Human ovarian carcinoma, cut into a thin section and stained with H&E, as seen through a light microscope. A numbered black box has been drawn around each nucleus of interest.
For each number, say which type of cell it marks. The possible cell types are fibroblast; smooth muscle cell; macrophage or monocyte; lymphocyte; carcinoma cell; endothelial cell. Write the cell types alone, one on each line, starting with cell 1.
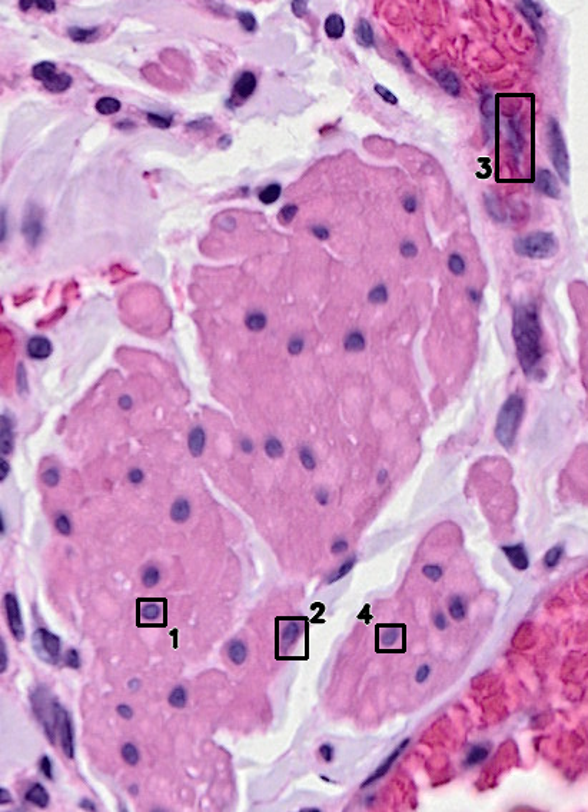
smooth muscle cell
smooth muscle cell
endothelial cell
smooth muscle cell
